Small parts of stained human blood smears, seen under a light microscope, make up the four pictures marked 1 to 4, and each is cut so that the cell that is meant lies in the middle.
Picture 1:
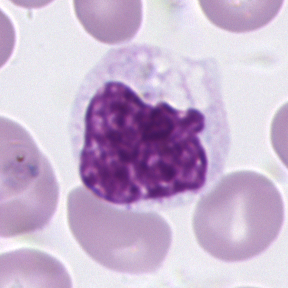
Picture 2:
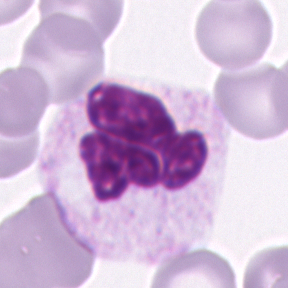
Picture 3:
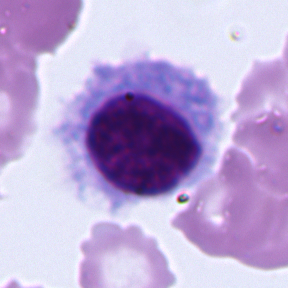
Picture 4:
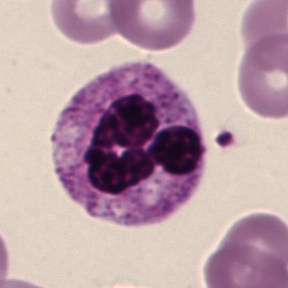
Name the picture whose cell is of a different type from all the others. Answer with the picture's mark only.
3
